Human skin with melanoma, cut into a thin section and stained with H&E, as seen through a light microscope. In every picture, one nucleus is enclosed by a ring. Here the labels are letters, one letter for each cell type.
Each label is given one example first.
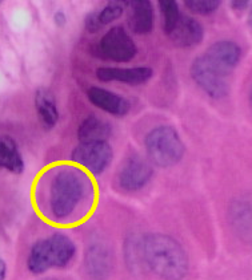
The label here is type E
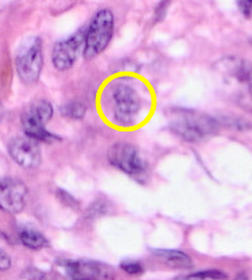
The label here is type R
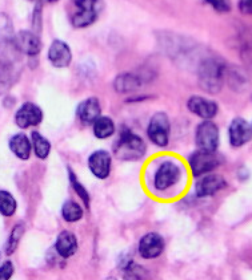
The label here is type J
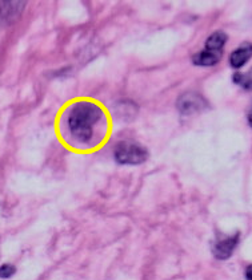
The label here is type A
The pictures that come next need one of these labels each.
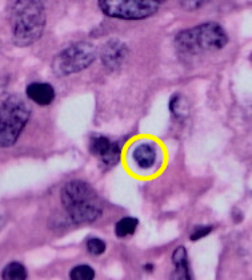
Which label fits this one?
type J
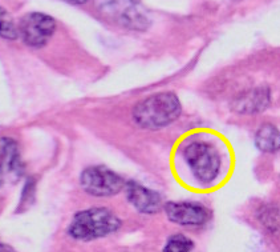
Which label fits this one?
type R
